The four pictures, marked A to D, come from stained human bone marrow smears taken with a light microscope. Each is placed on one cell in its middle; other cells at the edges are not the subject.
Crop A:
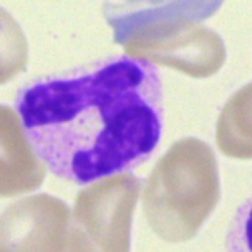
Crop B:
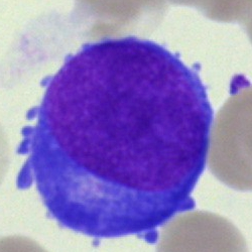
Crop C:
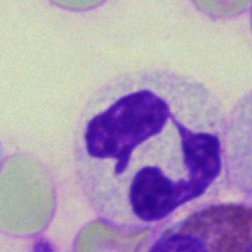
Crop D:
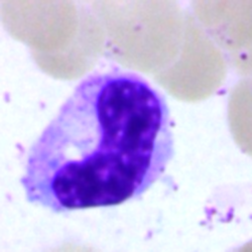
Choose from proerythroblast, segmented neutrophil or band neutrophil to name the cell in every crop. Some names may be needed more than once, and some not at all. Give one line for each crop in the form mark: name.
A: segmented neutrophil
B: proerythroblast
C: segmented neutrophil
D: band neutrophil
